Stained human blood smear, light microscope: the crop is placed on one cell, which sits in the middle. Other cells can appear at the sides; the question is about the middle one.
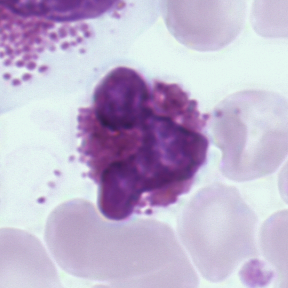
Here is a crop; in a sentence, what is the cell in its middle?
The identification for the central cell is an eosinophil.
